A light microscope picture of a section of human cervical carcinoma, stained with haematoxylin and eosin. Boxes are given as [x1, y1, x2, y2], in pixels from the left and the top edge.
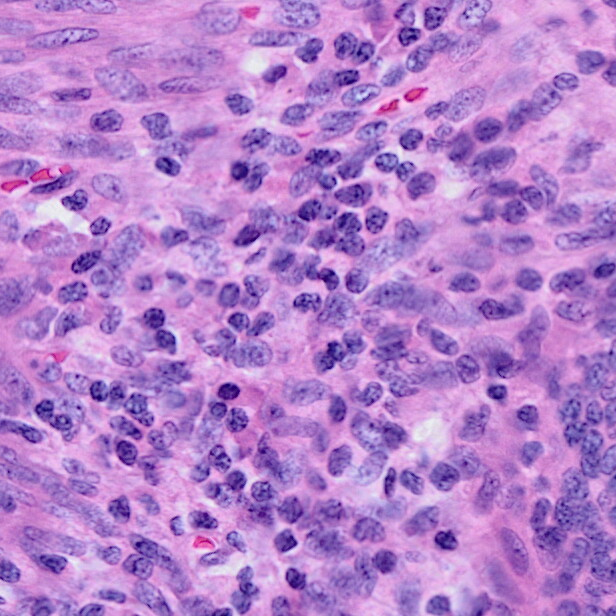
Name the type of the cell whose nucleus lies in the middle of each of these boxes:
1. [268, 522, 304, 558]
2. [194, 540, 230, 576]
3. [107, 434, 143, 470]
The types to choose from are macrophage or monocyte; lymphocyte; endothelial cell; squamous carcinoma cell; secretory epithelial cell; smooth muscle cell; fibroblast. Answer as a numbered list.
1. lymphocyte
2. endothelial cell
3. lymphocyte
